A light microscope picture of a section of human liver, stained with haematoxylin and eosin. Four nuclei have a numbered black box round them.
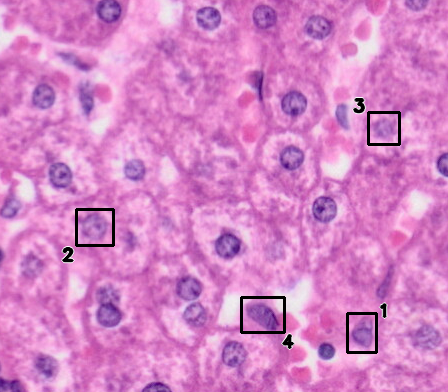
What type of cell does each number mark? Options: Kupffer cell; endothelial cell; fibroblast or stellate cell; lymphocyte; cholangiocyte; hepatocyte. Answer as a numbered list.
1. Kupffer cell
2. hepatocyte
3. hepatocyte
4. Kupffer cell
